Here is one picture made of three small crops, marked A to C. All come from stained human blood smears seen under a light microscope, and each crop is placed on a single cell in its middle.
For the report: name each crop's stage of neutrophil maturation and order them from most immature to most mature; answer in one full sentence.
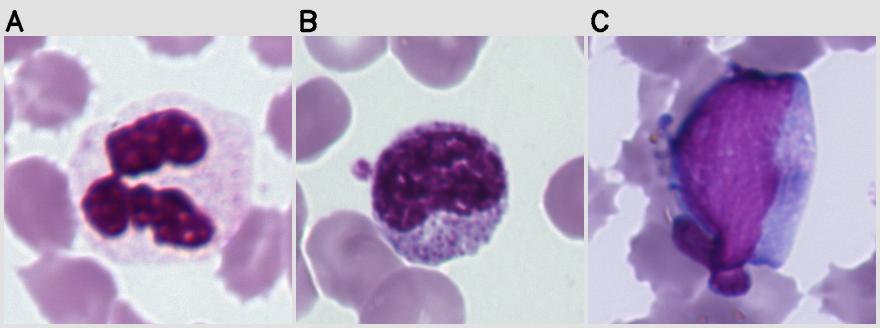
The right order here, from least to most mature, is crop C (a myeloblast), crop B (a metamyelocyte) and crop A (a segmented neutrophil).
